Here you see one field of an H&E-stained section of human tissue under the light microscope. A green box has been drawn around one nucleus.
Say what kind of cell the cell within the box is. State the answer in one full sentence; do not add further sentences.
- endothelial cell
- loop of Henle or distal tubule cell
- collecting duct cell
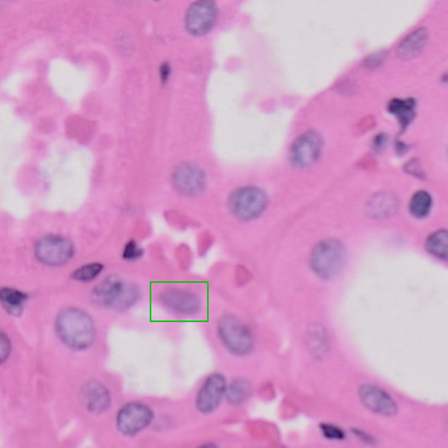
In terms of identity, the cell within the box is a collecting duct cell.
